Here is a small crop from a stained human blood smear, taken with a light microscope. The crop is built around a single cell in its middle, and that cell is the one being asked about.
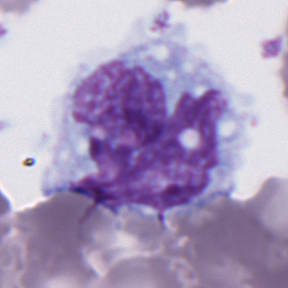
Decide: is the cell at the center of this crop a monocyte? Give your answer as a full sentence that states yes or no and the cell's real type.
Yes, the cell at the middle is a monocyte.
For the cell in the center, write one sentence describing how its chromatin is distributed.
The key point is fine chromatin with no coarse clumps.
